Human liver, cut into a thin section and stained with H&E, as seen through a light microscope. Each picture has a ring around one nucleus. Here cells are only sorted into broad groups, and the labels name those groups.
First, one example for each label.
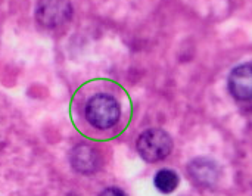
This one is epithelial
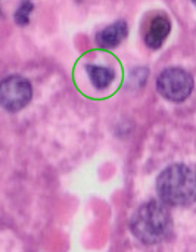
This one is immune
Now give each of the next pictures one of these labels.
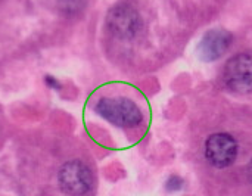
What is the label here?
immune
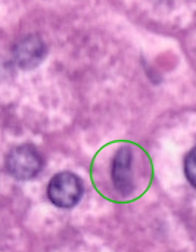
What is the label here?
immune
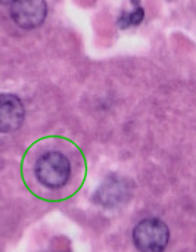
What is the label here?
epithelial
